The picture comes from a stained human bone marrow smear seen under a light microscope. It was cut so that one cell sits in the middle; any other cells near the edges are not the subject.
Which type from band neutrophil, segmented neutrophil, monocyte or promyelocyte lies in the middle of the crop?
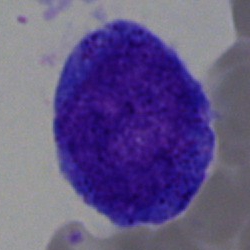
promyelocyte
